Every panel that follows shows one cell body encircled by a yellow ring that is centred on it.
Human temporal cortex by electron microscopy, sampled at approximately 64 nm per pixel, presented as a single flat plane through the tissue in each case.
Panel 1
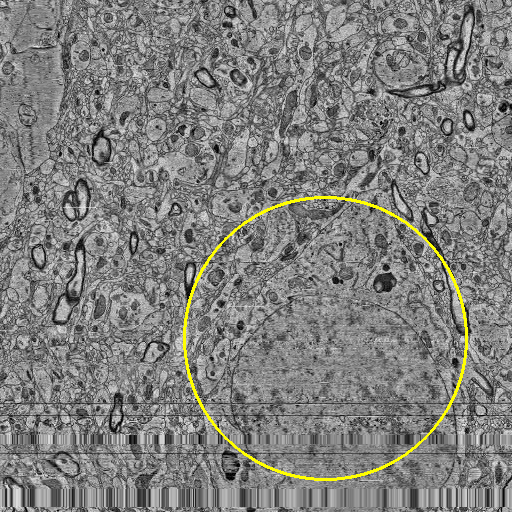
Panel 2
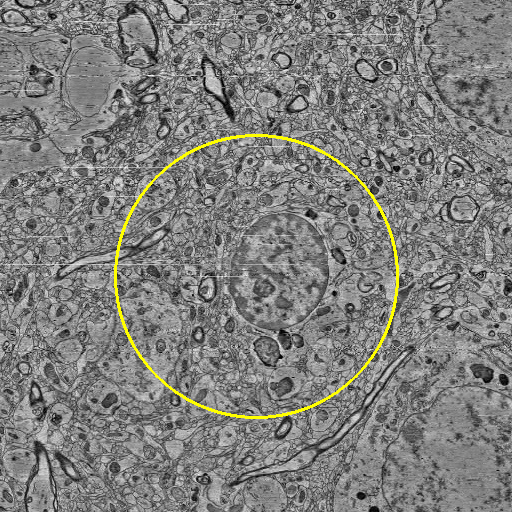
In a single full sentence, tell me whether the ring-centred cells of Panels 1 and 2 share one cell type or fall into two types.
In Panel 1 and Panel 2, the cells at the ring centres fall into two types.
